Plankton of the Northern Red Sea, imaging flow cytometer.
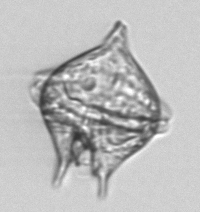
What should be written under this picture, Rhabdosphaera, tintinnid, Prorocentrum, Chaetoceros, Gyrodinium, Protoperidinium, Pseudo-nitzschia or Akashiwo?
Protoperidinium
